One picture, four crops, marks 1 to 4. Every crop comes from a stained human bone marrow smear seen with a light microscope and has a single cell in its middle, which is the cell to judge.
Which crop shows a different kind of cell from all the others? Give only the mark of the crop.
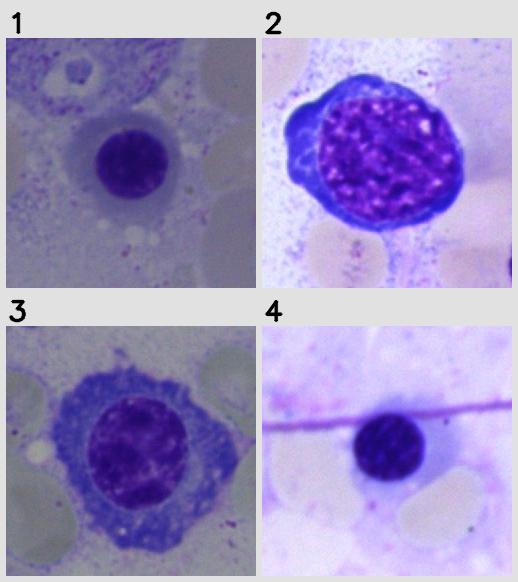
3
